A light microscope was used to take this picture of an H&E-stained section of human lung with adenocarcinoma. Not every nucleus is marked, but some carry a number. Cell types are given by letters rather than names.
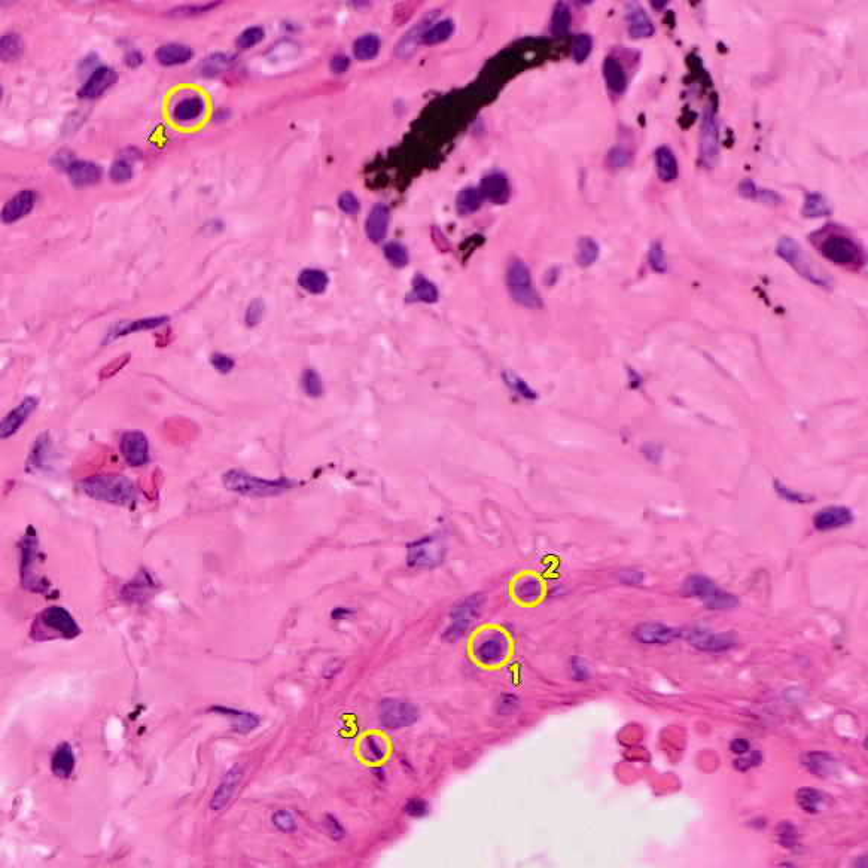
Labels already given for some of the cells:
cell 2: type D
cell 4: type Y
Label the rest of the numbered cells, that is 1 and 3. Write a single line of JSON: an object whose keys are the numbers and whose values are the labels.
{"1": "type D", "3": "type D"}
